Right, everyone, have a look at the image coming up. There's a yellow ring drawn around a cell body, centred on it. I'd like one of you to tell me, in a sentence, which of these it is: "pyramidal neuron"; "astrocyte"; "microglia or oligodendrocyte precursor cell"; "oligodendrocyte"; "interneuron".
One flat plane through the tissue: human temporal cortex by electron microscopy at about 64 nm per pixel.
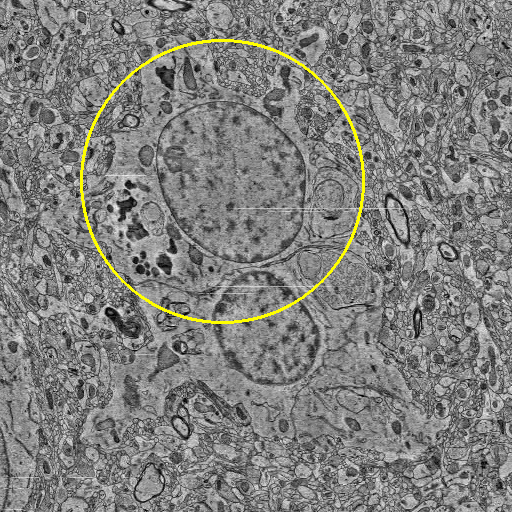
The yellow ring sits on an astrocyte.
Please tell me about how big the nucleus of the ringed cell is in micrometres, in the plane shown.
About 11 by 9 micrometers for the nucleus, in this plane.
